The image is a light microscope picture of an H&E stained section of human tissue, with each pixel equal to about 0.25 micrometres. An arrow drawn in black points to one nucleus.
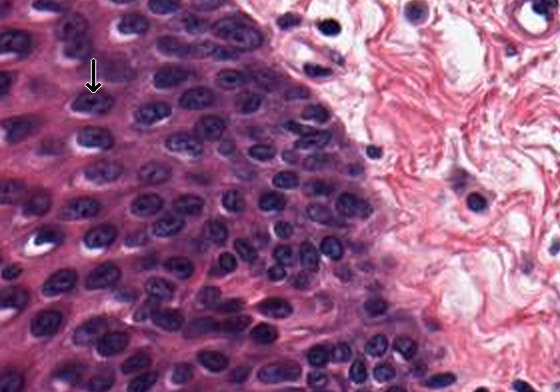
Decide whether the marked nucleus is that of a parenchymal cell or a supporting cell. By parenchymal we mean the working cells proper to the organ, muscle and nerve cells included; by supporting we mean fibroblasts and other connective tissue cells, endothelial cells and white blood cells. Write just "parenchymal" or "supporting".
parenchymal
